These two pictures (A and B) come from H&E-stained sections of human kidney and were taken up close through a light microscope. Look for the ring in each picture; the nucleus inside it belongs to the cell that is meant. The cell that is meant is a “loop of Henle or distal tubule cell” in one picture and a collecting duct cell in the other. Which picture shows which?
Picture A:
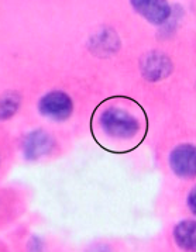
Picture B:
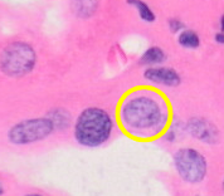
A: loop of Henle or distal tubule cell
B: collecting duct cell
